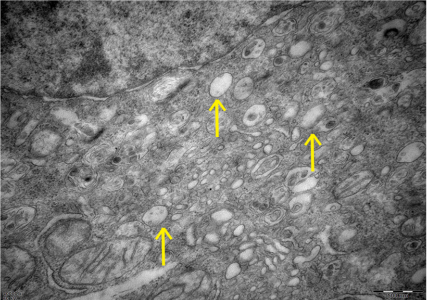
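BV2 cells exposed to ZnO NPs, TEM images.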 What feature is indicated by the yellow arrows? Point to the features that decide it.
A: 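The arrows point to round pale membrane-bound profiles in the cytoplasm. The profiles contain no dense granules. So: empty vesicles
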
